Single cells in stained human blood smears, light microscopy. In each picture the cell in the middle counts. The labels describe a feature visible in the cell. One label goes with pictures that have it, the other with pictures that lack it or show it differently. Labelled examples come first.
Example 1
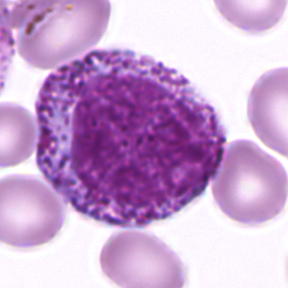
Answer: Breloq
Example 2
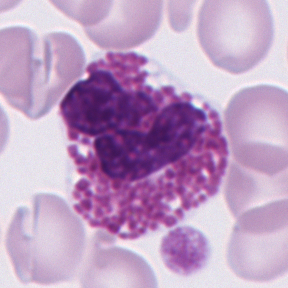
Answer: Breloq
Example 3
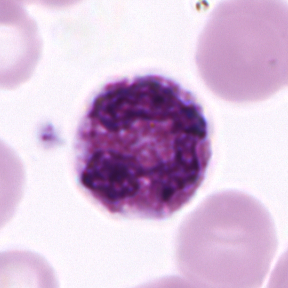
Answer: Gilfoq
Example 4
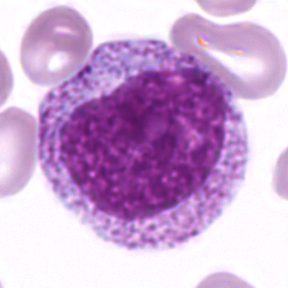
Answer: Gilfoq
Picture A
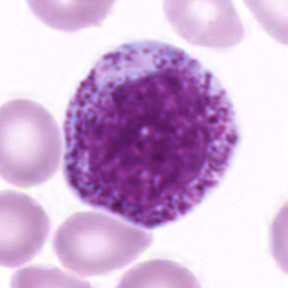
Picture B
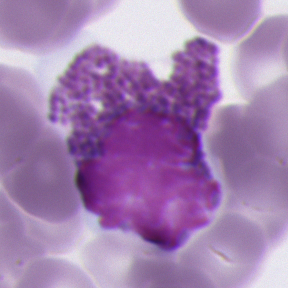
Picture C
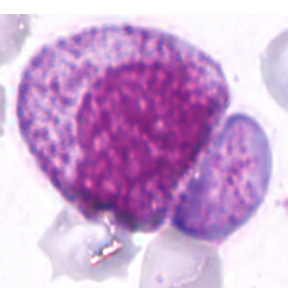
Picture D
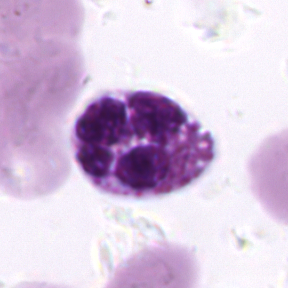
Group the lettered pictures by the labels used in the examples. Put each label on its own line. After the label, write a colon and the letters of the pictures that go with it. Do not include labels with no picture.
Breloq: A, C
Gilfoq: B, D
